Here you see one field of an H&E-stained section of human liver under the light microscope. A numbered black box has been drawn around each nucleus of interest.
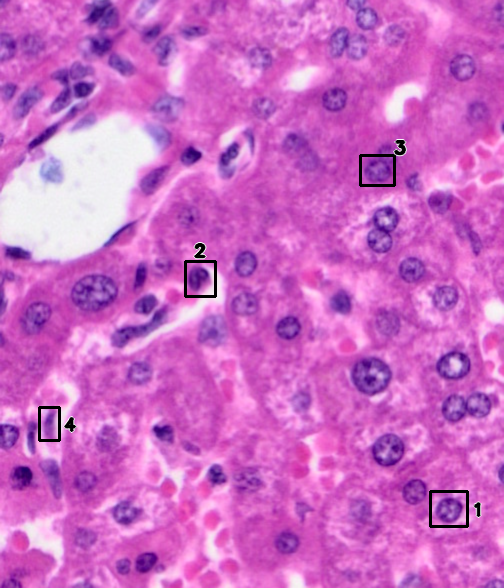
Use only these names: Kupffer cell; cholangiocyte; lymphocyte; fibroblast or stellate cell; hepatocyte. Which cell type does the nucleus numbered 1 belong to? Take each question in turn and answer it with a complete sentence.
Heads up, the cell numbered 1 is a hepatocyte.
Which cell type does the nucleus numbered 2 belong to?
Of the numbered cells, the one labelled 2 is a Kupffer cell.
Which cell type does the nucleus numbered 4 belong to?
The numbered cell 4 in this field is a Kupffer cell.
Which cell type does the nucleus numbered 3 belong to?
The nucleus labelled 3 belongs to a hepatocyte.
